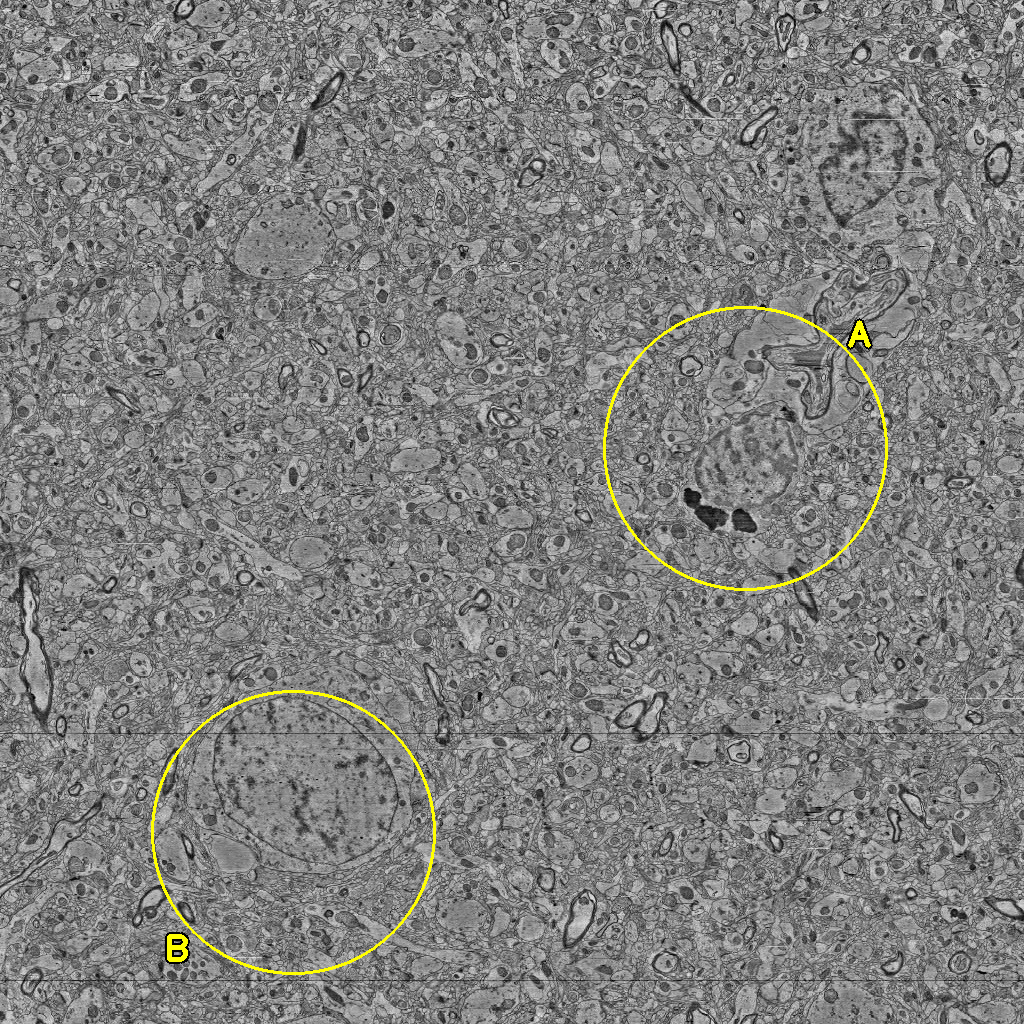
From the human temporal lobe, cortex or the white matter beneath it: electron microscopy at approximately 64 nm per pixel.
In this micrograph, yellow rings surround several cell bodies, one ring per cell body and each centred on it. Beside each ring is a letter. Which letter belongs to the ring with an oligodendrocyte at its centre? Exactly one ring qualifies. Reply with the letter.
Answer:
A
